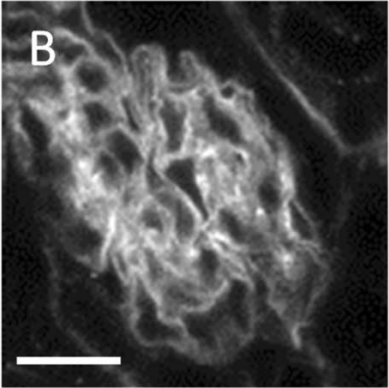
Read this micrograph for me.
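A rounded, compact knot of bright, thin-walled tubes fills the middle of the field, the tubes coiling and looping tightly around small dark spaces so that the whole forms an oval tuft. Around the tuft the background is dark, and a few single, smoother vessels run past its edge.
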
